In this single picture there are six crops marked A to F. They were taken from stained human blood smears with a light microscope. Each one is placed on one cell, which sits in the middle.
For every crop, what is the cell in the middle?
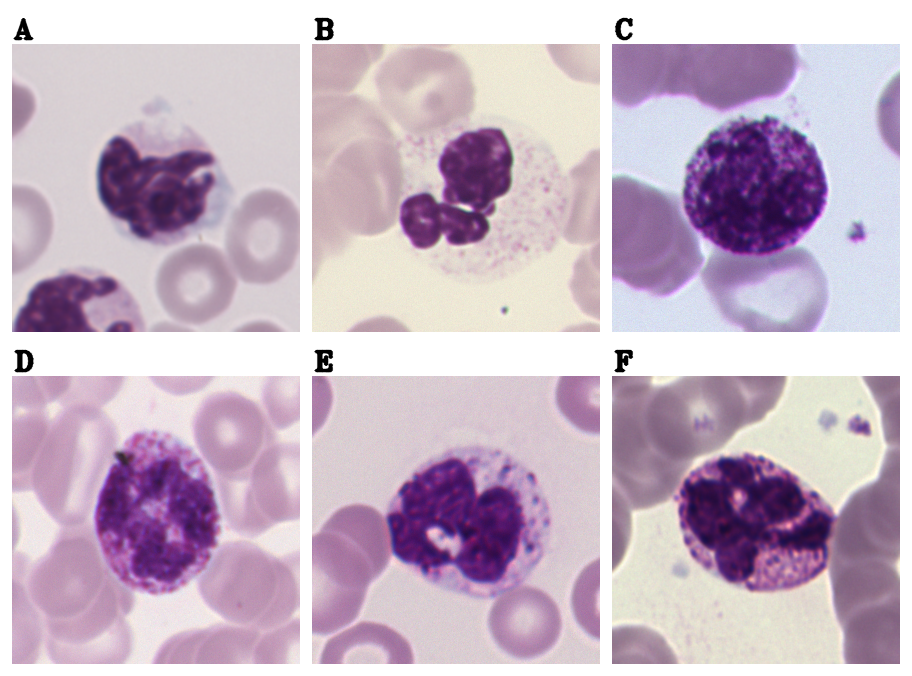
A: segmented neutrophil
B: segmented neutrophil
C: basophil
D: basophil
E: basophil
F: basophil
